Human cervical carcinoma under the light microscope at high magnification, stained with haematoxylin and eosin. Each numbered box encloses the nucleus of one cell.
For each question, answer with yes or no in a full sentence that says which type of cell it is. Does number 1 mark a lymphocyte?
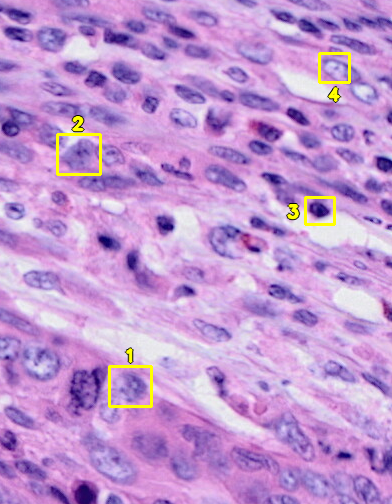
No. Cell number 1 is a squamous carcinoma cell, not a lymphocyte.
